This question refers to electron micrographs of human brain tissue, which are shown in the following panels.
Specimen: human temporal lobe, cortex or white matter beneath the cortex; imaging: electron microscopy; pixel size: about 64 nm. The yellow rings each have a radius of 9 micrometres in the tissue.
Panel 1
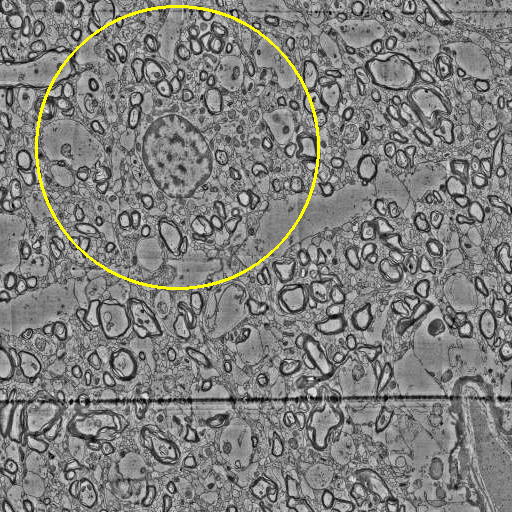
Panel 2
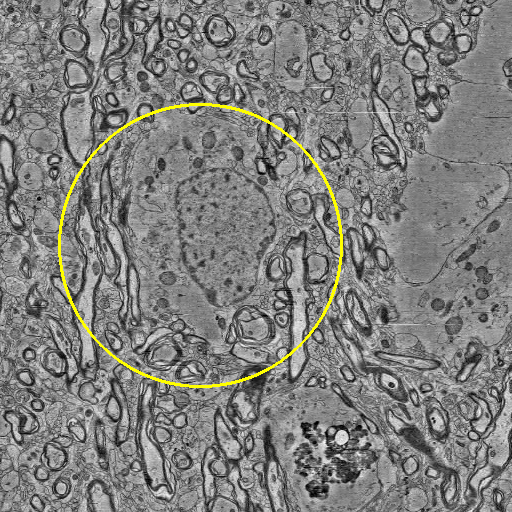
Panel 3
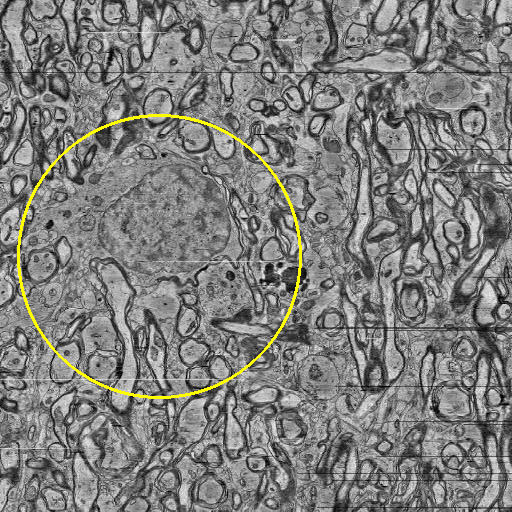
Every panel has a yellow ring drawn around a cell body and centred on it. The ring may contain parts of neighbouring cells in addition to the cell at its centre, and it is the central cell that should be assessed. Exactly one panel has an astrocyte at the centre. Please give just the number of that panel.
2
